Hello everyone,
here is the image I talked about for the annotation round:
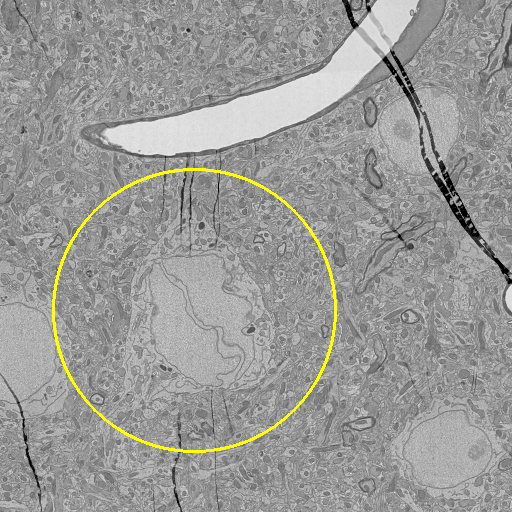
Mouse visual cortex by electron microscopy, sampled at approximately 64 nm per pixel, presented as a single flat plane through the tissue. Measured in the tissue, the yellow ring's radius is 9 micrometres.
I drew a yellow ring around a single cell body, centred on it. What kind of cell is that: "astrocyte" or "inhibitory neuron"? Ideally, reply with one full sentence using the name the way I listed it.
The cell your yellow ring is centred on is an inhibitory neuron, going by your list.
